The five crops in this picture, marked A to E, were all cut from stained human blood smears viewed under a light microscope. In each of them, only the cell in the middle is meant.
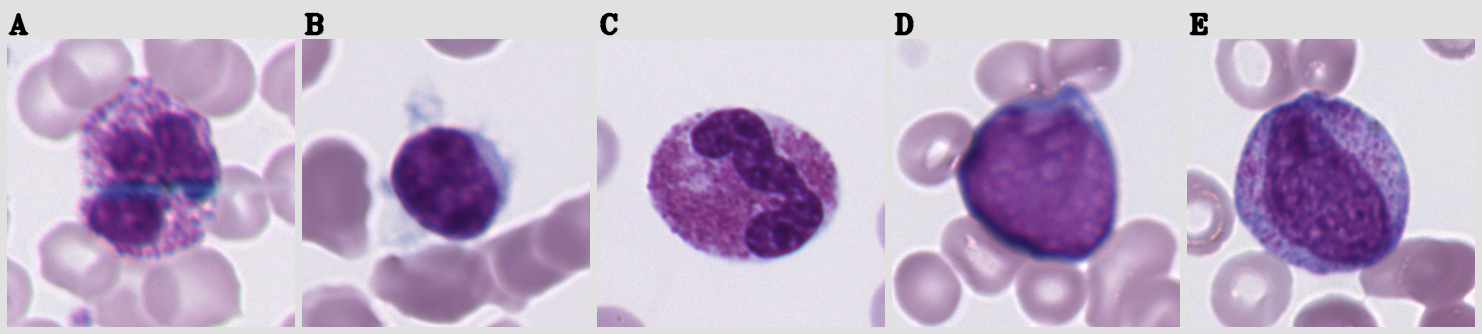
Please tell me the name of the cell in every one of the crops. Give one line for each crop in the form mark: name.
A: basophil
B: hairy cell
C: eosinophil
D: myeloblast
E: atypical promyelocyte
